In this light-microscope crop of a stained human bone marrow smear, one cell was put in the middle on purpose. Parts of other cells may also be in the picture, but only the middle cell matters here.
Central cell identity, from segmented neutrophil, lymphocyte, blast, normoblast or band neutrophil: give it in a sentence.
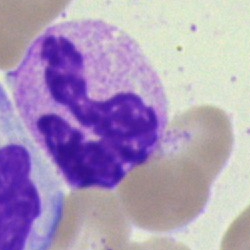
At the crop's centre, the cell is a segmented neutrophil.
